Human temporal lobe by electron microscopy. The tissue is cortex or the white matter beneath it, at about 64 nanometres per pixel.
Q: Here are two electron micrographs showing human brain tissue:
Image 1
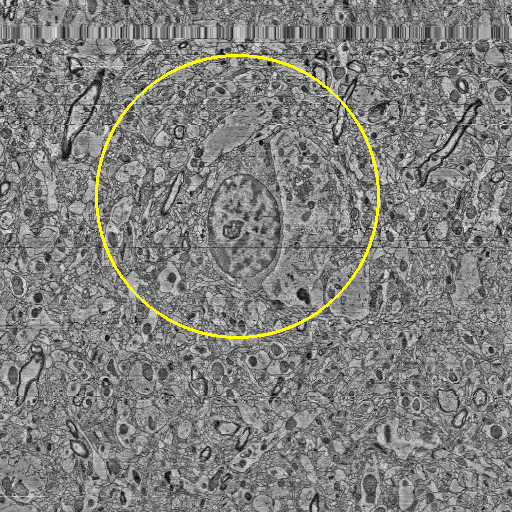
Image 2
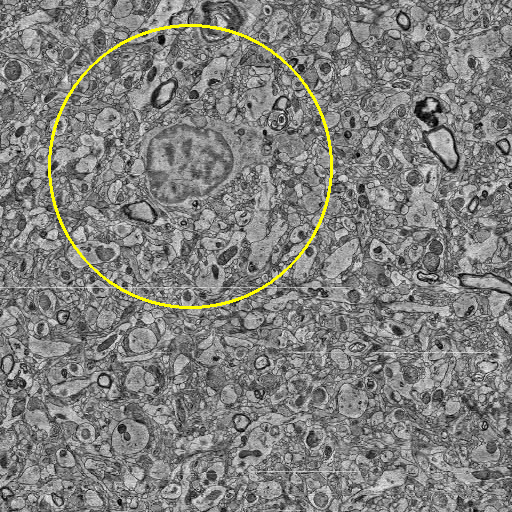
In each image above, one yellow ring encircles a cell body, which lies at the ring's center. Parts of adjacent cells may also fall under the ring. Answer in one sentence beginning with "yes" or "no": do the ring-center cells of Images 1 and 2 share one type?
Yes, in Images 1 and 2, the ring-center cells are both of one type.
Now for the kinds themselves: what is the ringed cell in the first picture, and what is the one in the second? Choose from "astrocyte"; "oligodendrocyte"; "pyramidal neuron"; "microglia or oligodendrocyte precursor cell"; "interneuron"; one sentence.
Each cell at the centre of a ring is an oligodendrocyte.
